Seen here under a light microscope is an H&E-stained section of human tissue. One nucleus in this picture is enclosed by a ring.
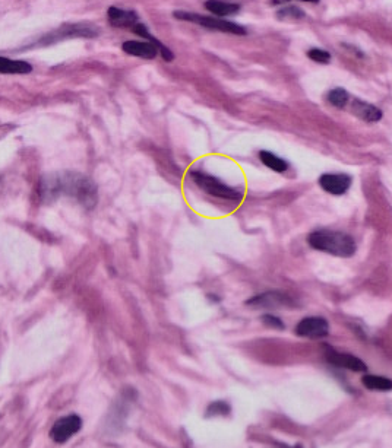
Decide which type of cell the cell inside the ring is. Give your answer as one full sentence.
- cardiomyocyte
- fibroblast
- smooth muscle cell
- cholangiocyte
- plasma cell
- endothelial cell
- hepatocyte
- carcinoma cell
The cell meant here is a fibroblast.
